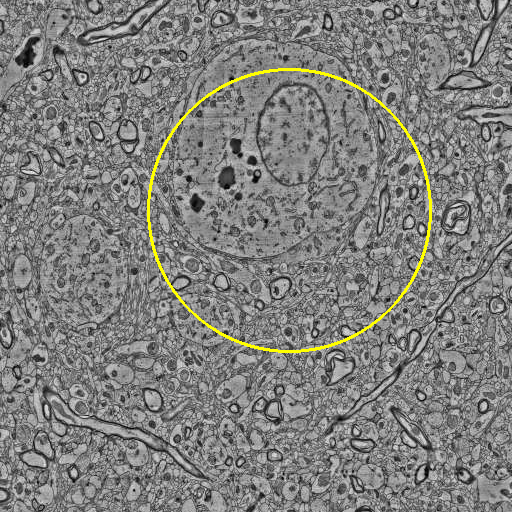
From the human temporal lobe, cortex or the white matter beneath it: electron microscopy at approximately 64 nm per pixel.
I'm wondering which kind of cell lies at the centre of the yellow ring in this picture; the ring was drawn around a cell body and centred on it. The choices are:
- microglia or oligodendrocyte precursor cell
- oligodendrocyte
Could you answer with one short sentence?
At the centre of the ring lies an oligodendrocyte.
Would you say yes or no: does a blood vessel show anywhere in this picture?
No, the picture includes no blood vessel.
